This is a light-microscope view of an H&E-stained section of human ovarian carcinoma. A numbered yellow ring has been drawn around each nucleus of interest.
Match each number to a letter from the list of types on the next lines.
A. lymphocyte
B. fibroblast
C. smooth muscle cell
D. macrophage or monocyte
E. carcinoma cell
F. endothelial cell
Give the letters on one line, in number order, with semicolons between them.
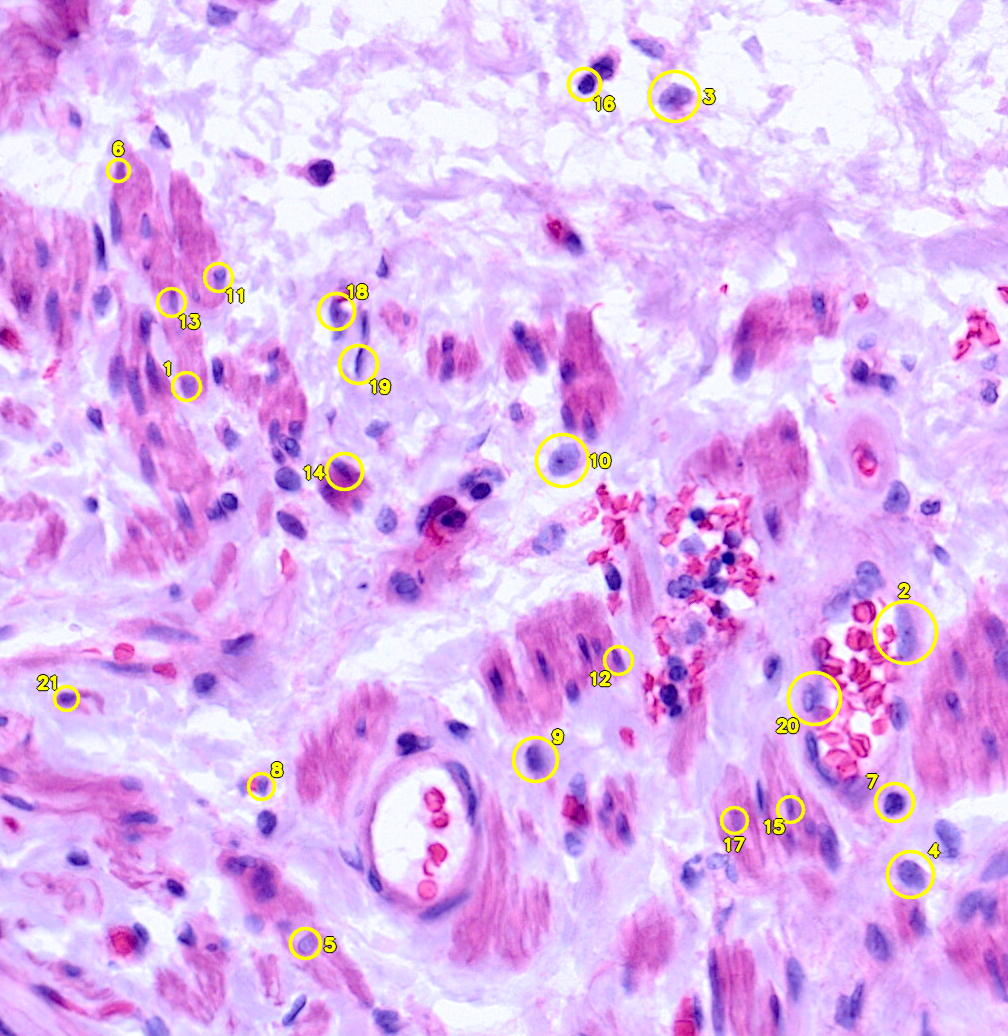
C; F; B; B; C; C; A; F; B; B; C; C; C; C; C; A; C; F; B; F; C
